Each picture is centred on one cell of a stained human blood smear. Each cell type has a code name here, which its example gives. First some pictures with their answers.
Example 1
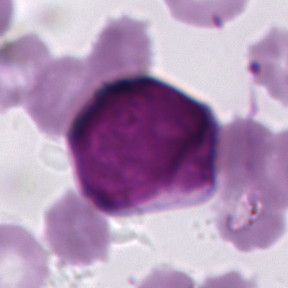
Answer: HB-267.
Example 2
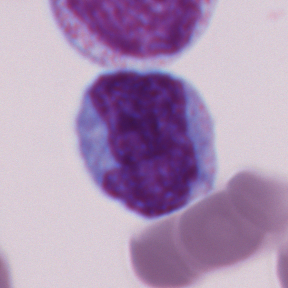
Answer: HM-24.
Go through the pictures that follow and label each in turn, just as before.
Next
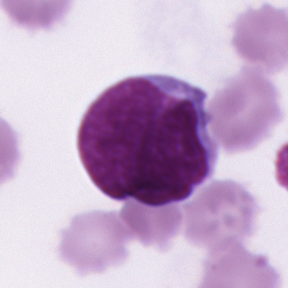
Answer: HB-267.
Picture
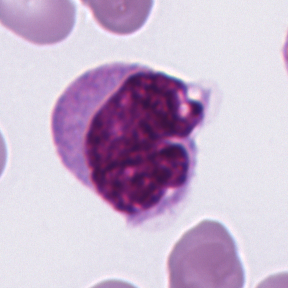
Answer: HM-24.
